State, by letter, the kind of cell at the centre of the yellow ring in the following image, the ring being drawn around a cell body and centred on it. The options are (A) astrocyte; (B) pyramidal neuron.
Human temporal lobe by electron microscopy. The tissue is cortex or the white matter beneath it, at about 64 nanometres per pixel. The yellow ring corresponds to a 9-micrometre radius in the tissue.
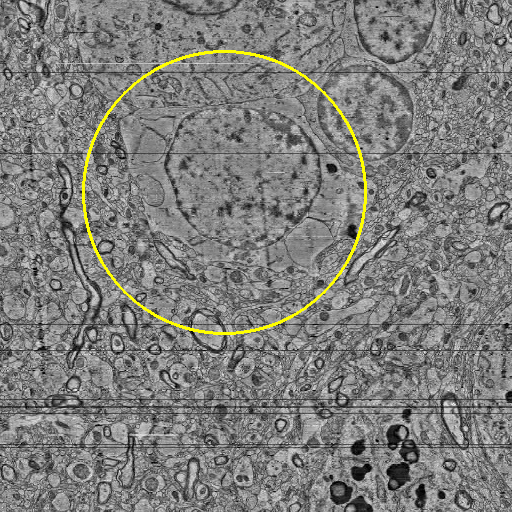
A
